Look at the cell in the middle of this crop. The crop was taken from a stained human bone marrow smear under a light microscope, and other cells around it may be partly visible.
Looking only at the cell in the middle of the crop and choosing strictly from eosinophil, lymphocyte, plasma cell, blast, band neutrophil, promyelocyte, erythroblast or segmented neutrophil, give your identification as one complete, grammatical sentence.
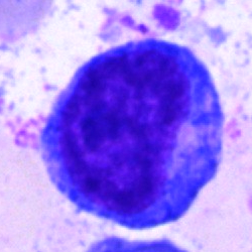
Here the centrally located cell is a blast.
